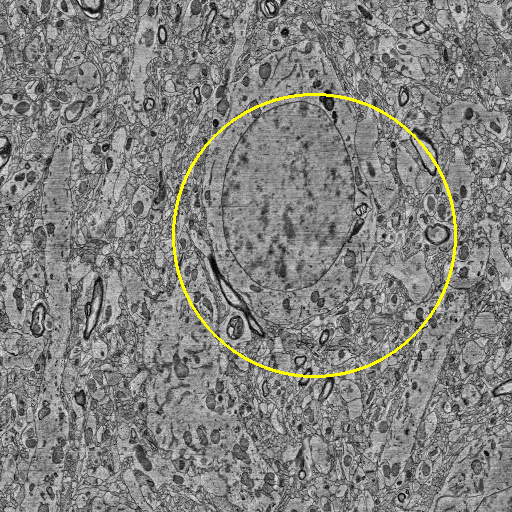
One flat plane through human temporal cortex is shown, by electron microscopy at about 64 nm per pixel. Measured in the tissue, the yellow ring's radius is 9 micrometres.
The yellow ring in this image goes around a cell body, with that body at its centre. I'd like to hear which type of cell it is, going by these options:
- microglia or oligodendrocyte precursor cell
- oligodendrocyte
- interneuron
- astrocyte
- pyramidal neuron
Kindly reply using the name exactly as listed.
pyramidal neuron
